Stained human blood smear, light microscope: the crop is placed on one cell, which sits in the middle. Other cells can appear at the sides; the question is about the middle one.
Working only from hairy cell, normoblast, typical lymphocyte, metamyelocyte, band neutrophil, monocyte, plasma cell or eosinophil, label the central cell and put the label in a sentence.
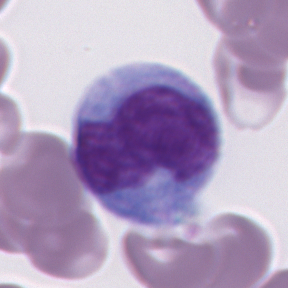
By classification, the middle cell of this crop is a monocyte.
